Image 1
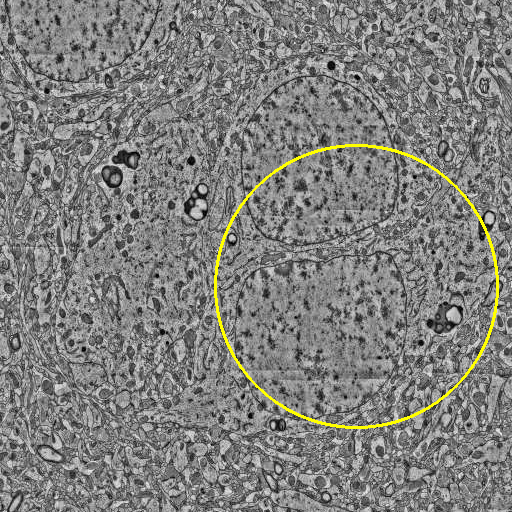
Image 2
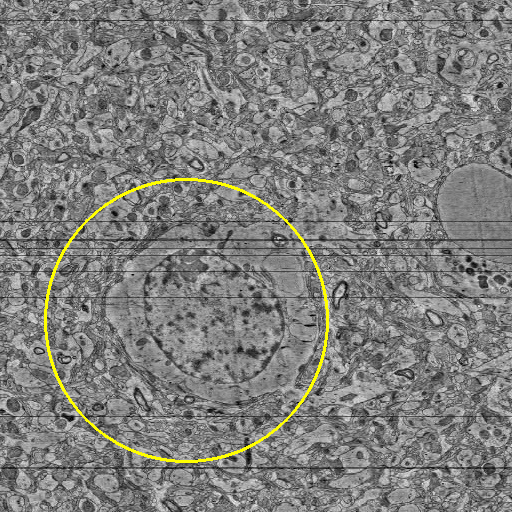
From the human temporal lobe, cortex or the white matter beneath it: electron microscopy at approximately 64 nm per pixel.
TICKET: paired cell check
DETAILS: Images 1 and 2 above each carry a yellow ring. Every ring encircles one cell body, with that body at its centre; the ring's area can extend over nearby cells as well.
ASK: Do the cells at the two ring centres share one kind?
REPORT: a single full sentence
No, the ring-centre cells of Images 1 and 2 belong to two kinds.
